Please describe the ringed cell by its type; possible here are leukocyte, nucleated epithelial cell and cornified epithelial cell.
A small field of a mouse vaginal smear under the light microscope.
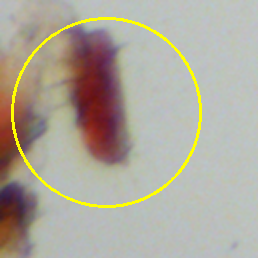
The yellow ring marks a cornified epithelial cell.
